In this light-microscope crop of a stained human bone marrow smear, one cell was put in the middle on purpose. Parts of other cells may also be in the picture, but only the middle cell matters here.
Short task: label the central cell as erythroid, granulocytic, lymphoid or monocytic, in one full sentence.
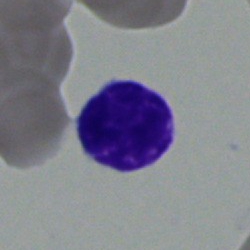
The cell in the center of the crop is counted in the lymphoid lineage.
